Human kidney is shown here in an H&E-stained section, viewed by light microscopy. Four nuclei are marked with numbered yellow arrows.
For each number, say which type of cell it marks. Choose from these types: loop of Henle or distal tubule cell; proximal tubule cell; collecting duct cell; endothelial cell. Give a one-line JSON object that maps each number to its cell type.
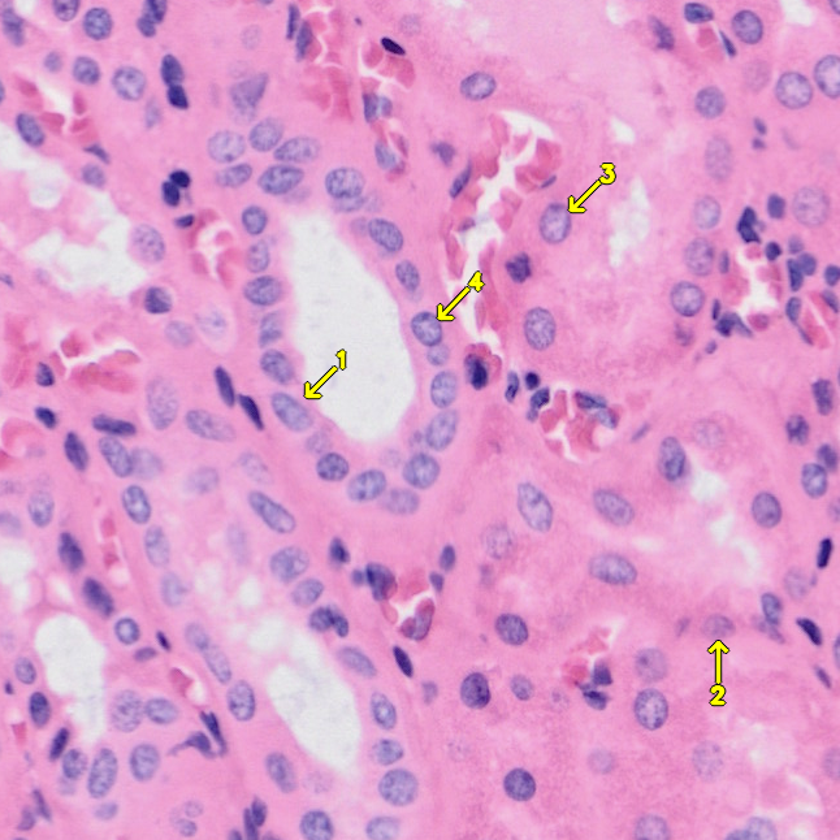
{"1": "collecting duct cell", "2": "proximal tubule cell", "3": "proximal tubule cell", "4": "collecting duct cell"}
